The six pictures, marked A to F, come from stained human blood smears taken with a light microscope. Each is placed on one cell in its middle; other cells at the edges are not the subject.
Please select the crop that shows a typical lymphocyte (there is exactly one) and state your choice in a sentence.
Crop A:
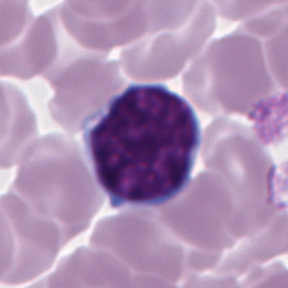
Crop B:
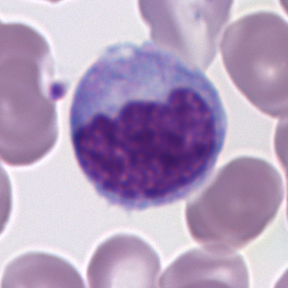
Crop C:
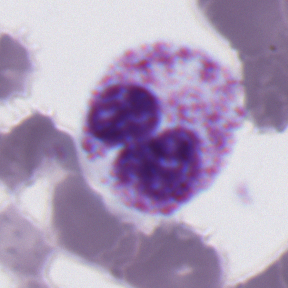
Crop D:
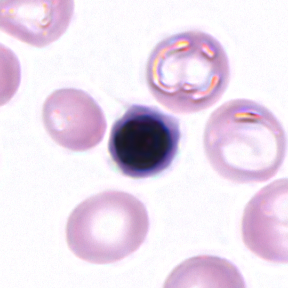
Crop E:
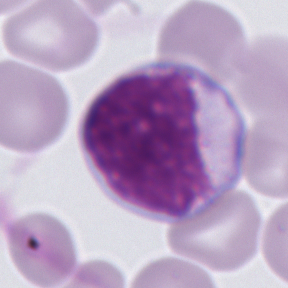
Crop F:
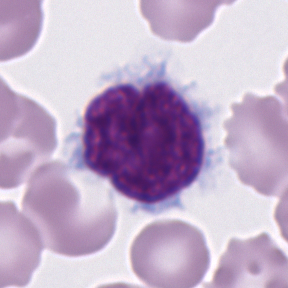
Crop A, of the crops presented, is the one showing a typical lymphocyte.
